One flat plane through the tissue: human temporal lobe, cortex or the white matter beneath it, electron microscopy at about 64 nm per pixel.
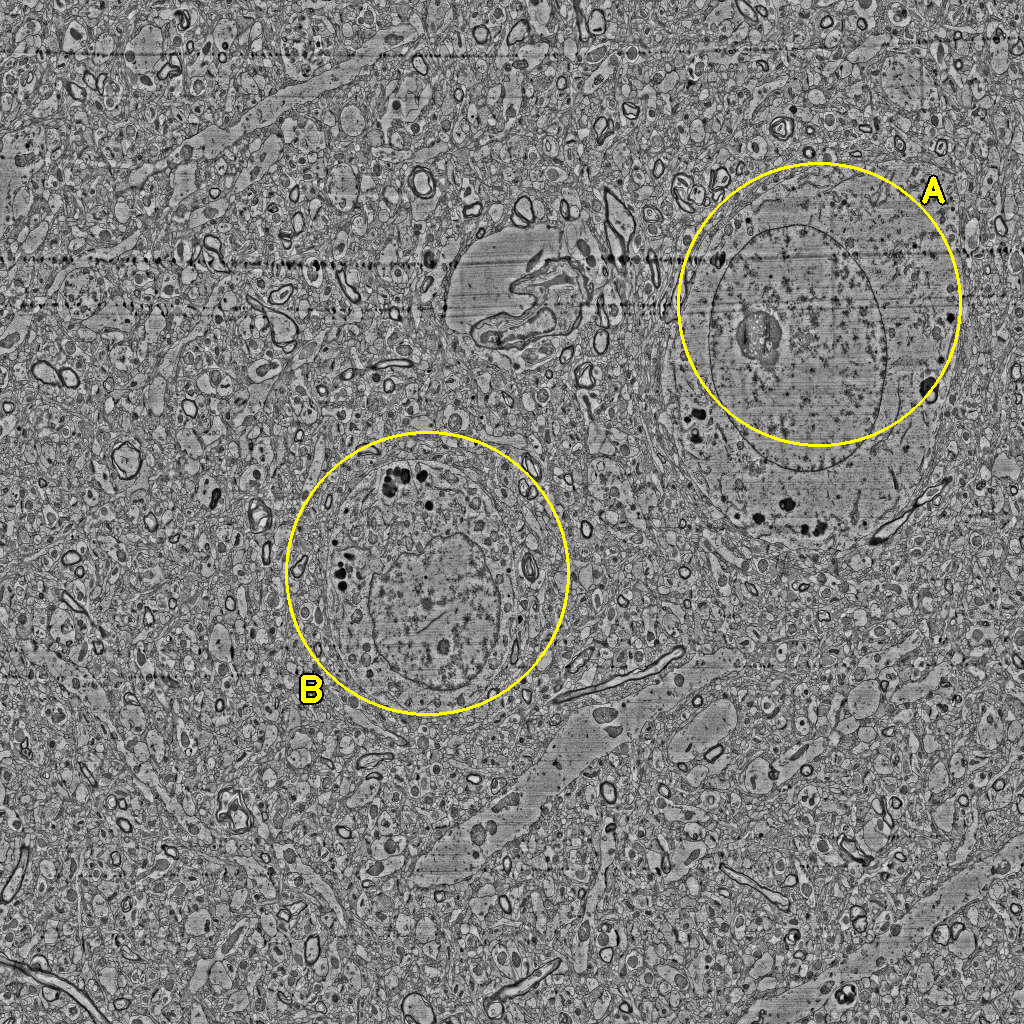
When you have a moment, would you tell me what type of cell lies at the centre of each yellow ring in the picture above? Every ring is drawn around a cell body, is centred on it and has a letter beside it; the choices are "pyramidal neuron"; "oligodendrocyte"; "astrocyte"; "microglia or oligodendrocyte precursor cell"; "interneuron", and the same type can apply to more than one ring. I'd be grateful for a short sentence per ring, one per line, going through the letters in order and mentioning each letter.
The cell at the centre of ring A is a pyramidal neuron.
The cell at the centre of ring B is an interneuron.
